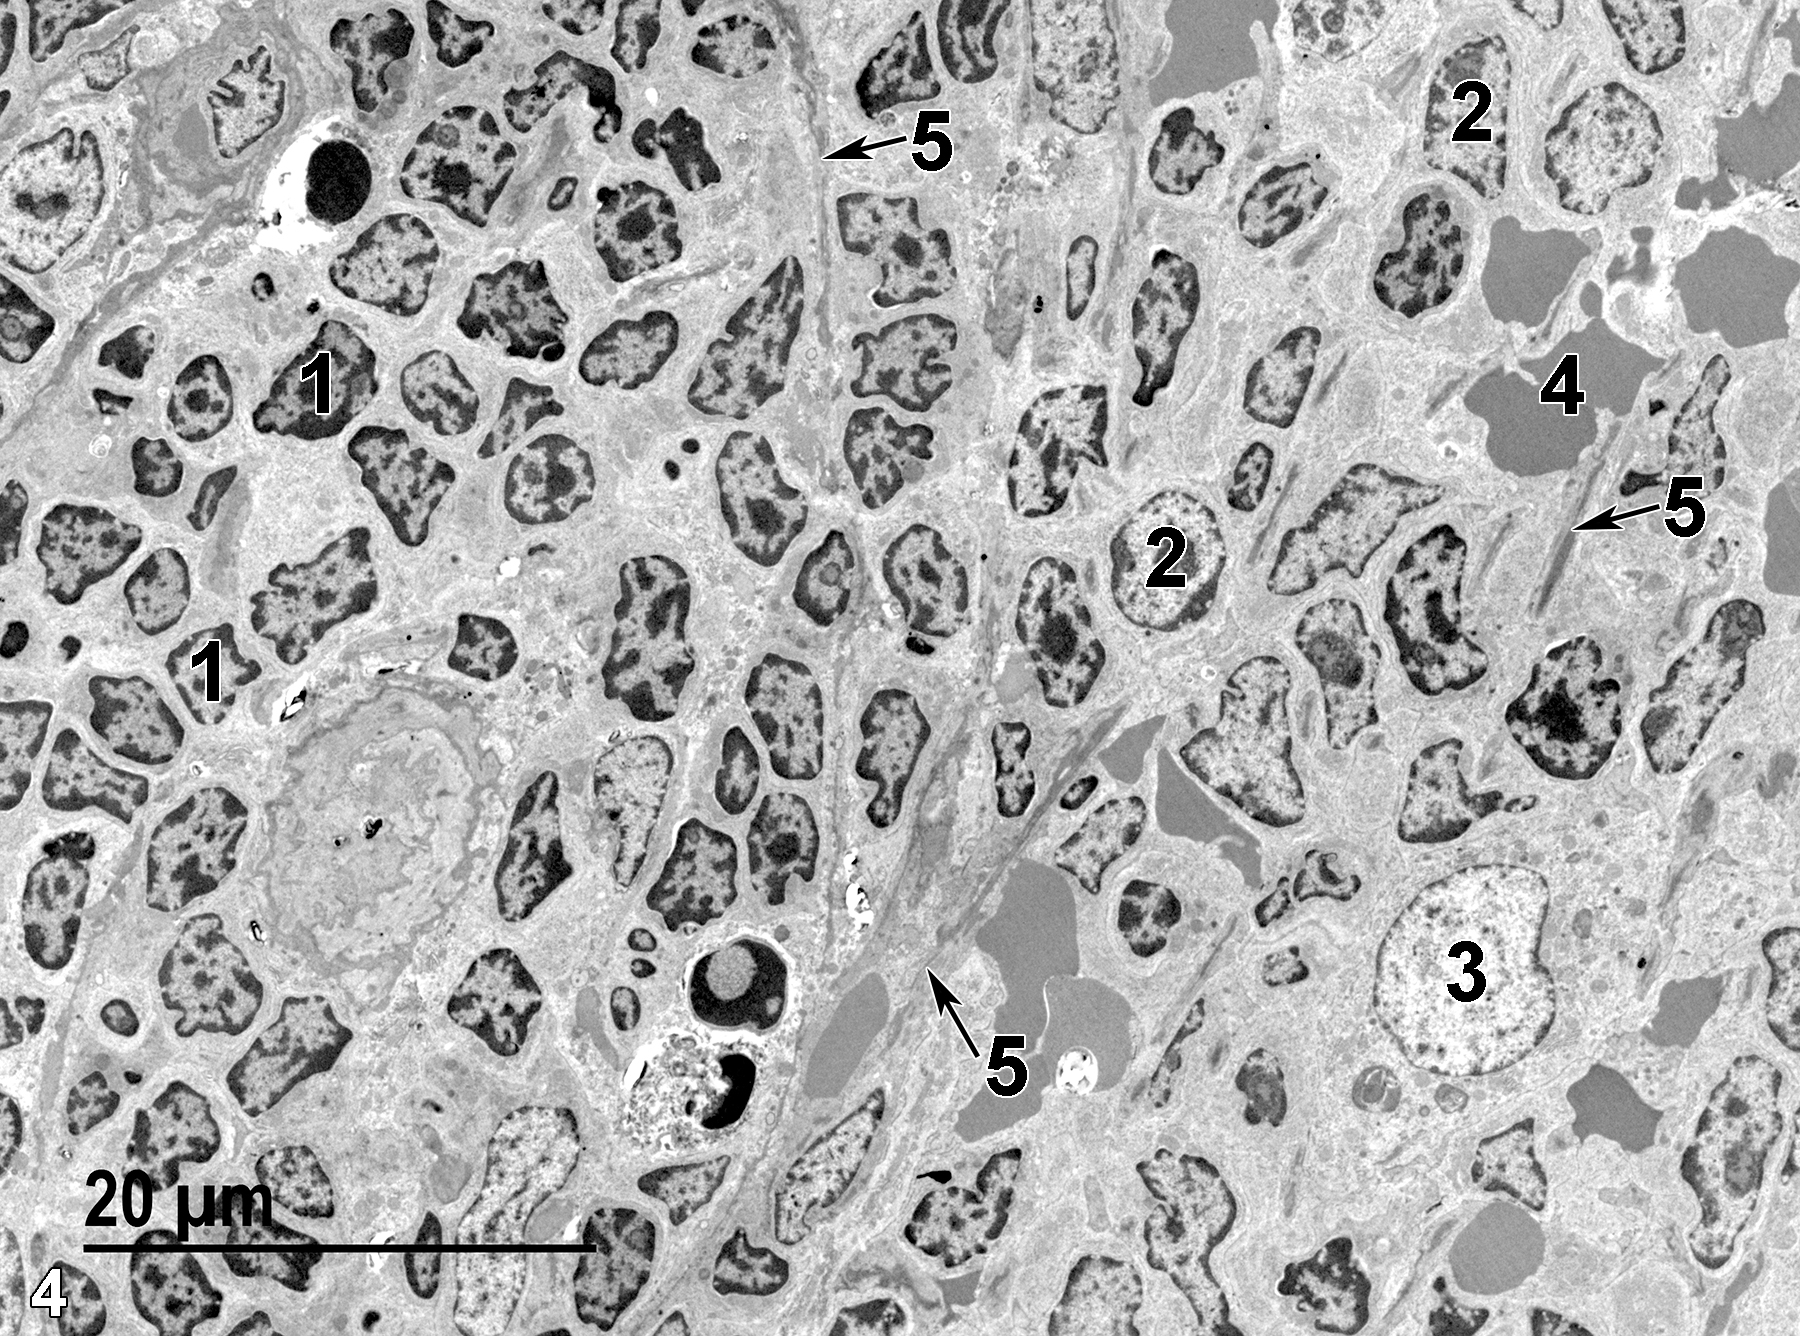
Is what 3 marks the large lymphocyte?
Yes.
